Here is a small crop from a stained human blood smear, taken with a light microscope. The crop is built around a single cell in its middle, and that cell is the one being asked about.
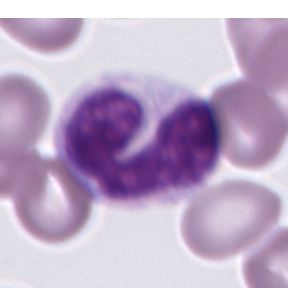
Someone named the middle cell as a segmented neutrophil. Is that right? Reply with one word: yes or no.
yes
